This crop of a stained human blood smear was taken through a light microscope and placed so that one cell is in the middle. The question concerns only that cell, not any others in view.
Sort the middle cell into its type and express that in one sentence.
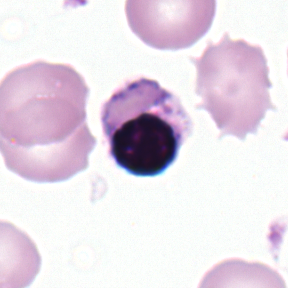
What sits at the centre of this crop is a normoblast.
